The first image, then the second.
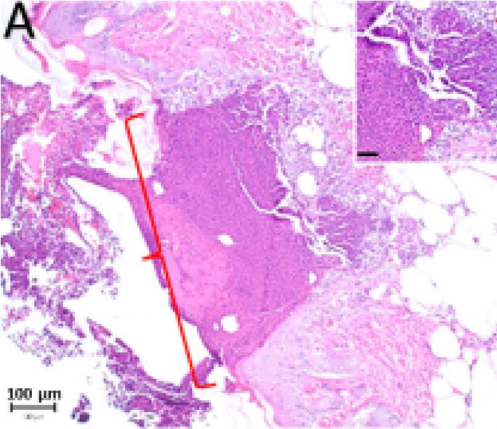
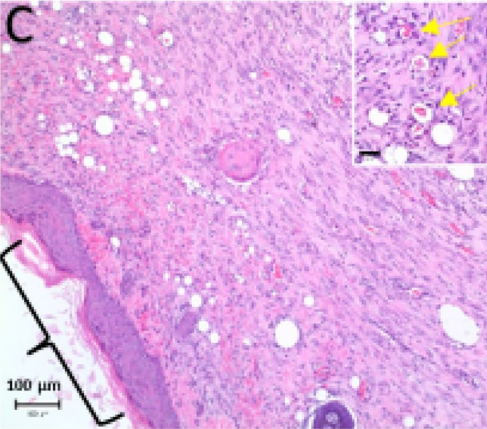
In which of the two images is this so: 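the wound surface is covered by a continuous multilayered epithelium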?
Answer: The second image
